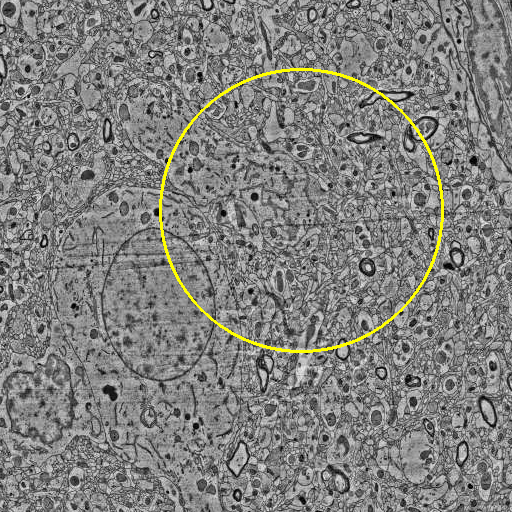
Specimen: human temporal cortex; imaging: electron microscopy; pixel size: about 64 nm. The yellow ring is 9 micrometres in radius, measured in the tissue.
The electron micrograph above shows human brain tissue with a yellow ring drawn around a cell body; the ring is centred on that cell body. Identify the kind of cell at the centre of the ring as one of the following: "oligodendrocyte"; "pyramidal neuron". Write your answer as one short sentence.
The cell at the centre of the ring is a pyramidal neuron.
